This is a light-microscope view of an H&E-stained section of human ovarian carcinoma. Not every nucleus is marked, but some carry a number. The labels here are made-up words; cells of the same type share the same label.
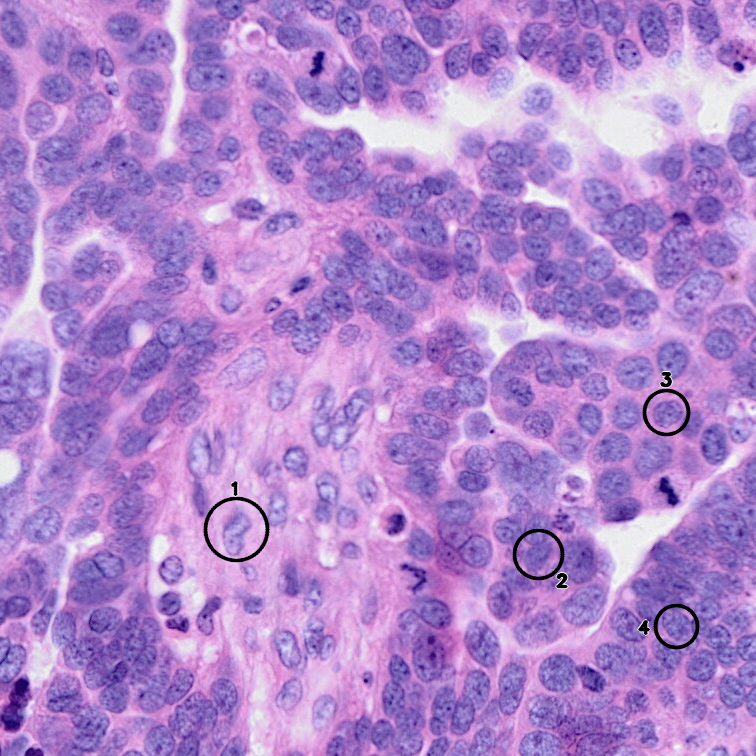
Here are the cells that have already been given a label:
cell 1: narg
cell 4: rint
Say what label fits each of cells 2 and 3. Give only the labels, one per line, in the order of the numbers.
rint
rint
